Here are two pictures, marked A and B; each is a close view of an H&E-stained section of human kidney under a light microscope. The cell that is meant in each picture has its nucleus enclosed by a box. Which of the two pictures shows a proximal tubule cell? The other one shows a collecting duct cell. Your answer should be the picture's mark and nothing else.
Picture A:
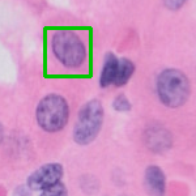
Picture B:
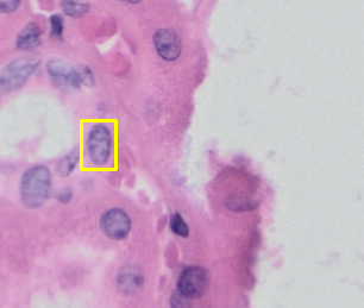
A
